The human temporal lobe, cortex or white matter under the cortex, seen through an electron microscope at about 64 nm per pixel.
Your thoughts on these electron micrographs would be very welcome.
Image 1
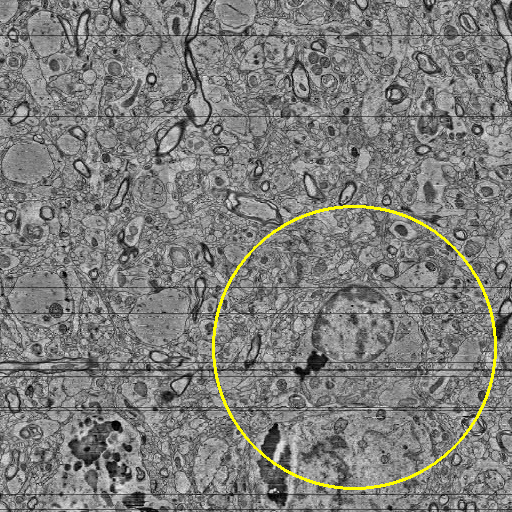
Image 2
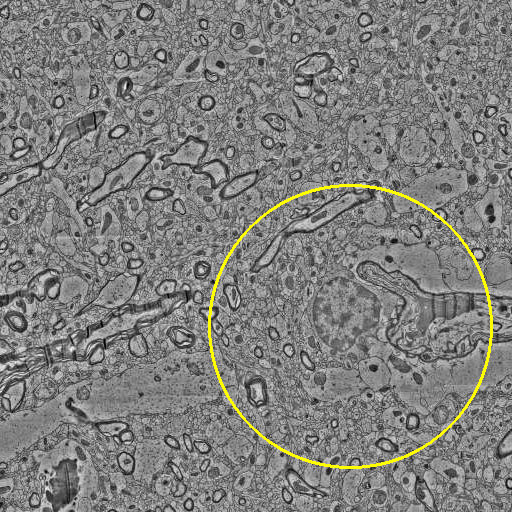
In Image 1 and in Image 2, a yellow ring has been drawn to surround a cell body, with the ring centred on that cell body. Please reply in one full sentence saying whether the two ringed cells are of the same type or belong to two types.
The ringed cells in Image 1 and Image 2 are of the same type.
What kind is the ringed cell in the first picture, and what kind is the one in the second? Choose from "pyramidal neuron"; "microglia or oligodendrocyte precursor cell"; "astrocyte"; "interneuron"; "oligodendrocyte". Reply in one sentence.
Each cell, in the first picture and the second, is an oligodendrocyte.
